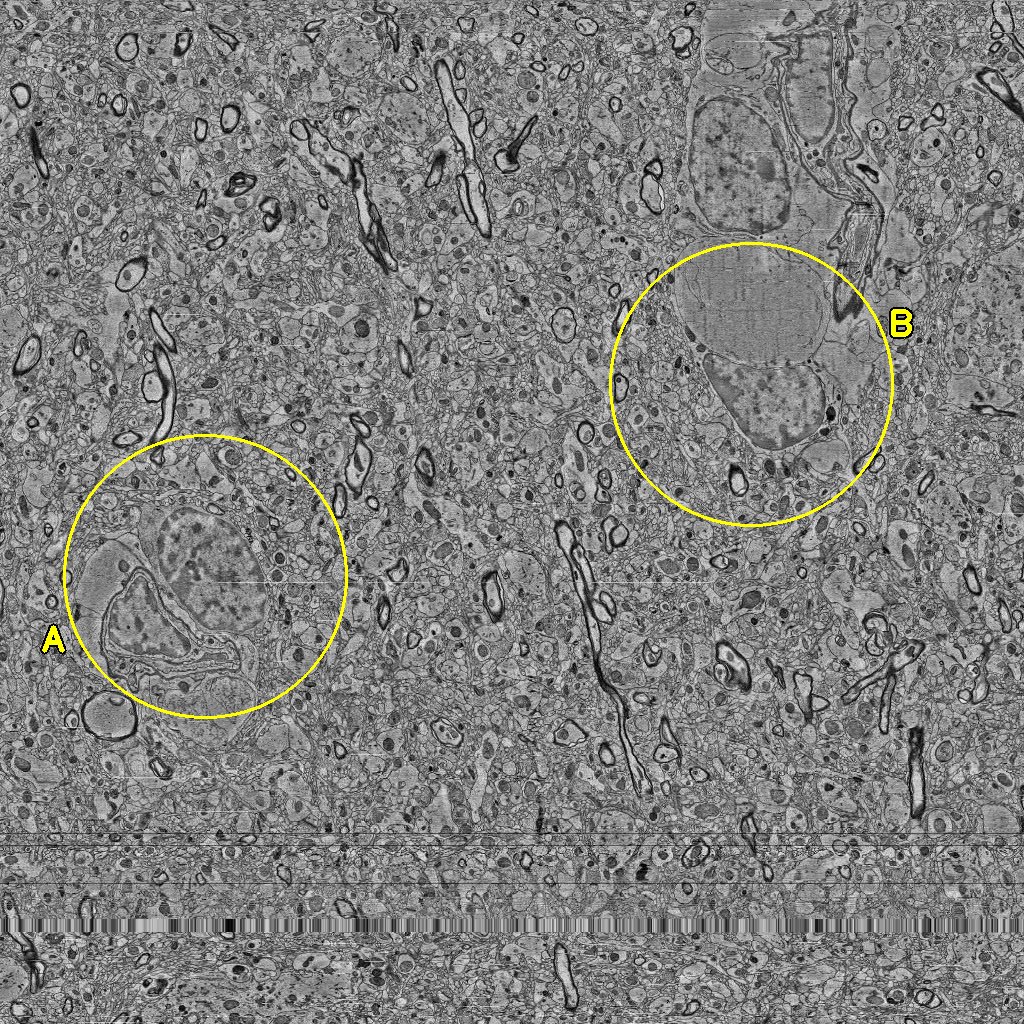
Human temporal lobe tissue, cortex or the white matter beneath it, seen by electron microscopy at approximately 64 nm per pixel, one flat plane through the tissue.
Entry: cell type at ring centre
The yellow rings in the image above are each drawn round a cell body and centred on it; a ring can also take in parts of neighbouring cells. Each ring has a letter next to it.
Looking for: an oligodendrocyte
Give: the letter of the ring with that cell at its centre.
A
